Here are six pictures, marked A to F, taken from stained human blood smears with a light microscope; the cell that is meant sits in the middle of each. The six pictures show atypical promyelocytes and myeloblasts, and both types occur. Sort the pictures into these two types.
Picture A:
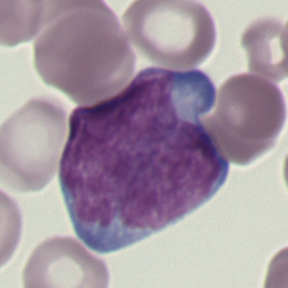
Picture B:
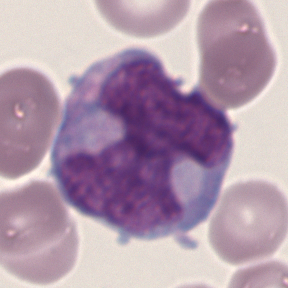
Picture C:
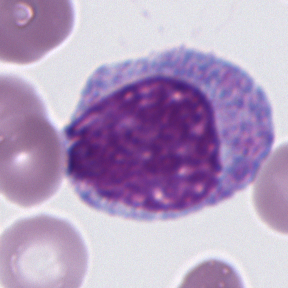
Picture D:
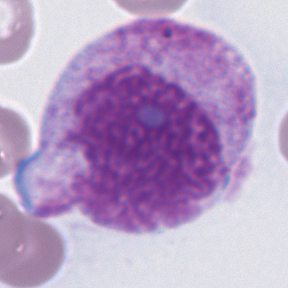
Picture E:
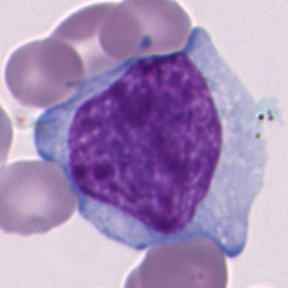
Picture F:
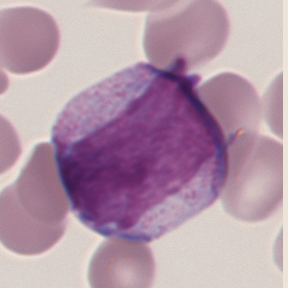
A: myeloblast
B: atypical promyelocyte
C: atypical promyelocyte
D: atypical promyelocyte
E: myeloblast
F: atypical promyelocyte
